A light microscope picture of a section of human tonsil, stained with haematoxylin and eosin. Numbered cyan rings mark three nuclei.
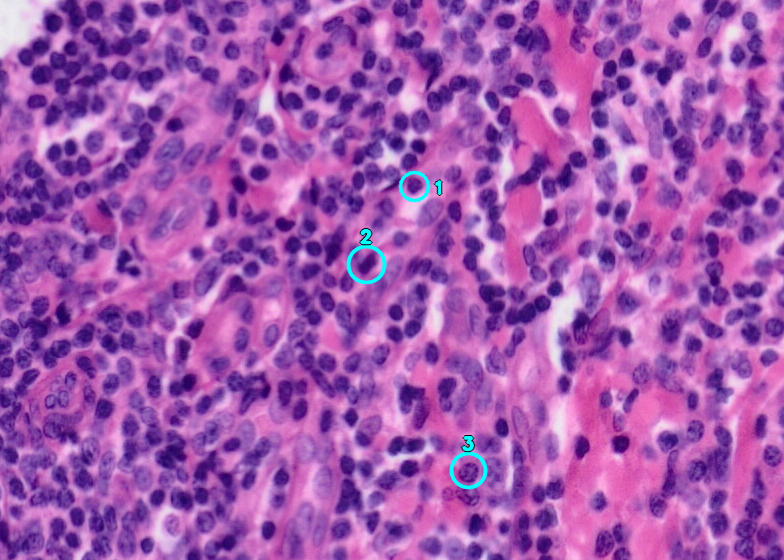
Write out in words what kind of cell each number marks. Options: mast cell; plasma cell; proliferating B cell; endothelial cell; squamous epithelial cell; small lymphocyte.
Cells 1 and 2 are endothelial cells. Cell 3 is a plasma cell.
